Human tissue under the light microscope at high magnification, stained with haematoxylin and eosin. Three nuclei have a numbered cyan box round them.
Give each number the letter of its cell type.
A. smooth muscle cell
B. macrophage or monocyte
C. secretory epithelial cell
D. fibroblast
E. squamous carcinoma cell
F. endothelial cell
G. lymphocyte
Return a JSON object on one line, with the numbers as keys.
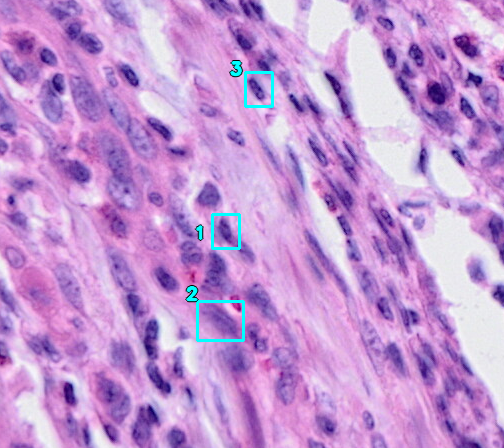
{"1": "G", "2": "F", "3": "G"}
